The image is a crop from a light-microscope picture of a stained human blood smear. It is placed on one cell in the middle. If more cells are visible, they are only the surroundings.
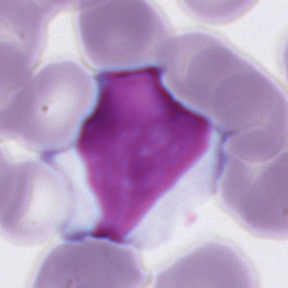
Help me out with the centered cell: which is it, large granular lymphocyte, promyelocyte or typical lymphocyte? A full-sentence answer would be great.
The target cell in the middle of the crop is a typical lymphocyte.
